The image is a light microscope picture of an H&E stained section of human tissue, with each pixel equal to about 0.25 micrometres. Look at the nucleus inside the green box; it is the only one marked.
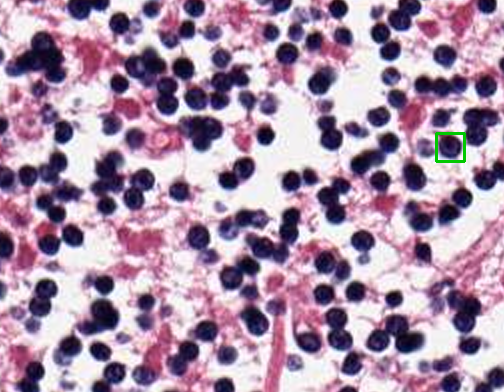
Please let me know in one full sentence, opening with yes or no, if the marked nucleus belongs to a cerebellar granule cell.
Yes, in this image it is a cerebellar granule cell that contains the marked nucleus.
